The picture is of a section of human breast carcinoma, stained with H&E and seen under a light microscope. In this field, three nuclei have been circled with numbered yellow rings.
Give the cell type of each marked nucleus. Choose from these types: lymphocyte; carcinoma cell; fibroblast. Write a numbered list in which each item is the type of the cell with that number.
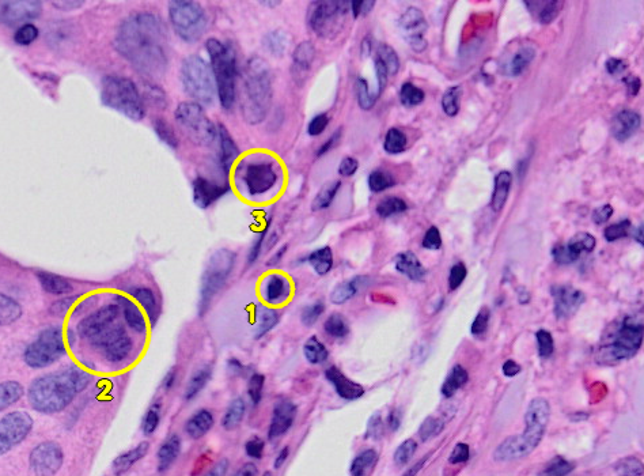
1. lymphocyte
2. carcinoma cell
3. carcinoma cell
